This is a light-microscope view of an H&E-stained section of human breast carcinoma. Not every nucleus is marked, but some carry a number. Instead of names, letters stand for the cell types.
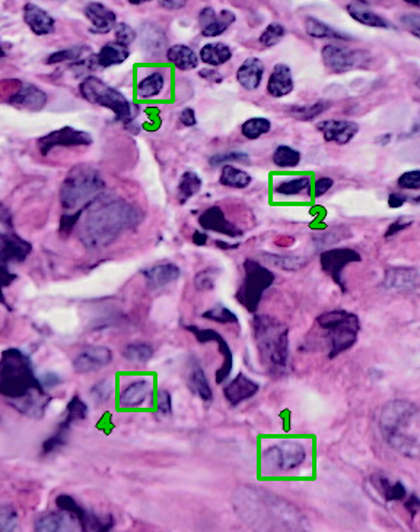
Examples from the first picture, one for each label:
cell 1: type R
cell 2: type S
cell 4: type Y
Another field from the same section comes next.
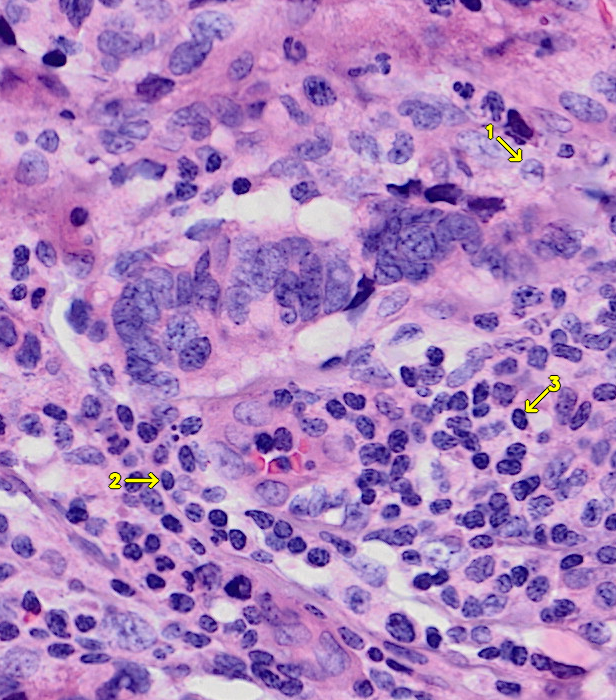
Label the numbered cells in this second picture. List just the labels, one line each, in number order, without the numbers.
type R
type S
type S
